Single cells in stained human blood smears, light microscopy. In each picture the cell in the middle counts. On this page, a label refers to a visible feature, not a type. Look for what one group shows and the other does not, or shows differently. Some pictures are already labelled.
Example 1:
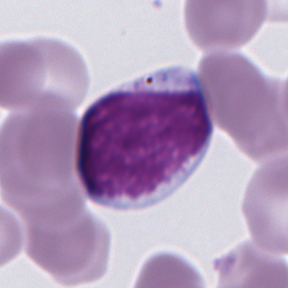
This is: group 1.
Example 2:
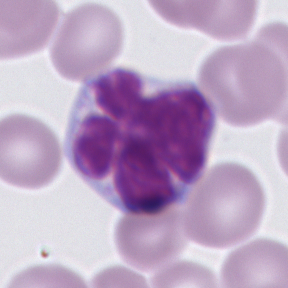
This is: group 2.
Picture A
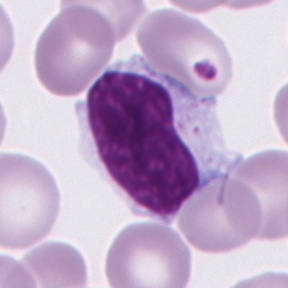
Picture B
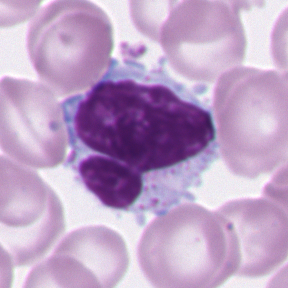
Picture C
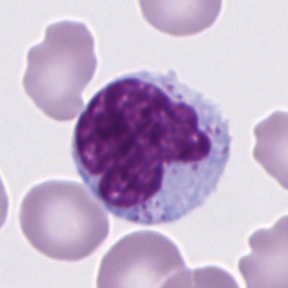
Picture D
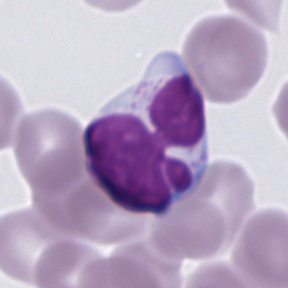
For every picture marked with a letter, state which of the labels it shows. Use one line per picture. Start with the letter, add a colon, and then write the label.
A: group 1.
B: group 2.
C: group 2.
D: group 2.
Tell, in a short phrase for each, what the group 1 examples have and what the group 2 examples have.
group 1: single compact nucleus; group 2: lobed nucleus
